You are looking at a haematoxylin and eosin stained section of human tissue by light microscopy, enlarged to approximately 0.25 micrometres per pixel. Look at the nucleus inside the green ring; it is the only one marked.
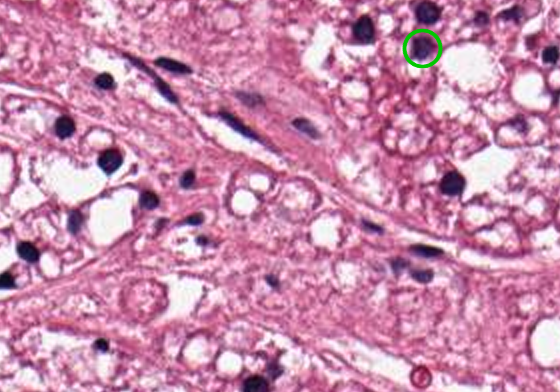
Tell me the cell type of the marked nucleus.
adrenal cortical cell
